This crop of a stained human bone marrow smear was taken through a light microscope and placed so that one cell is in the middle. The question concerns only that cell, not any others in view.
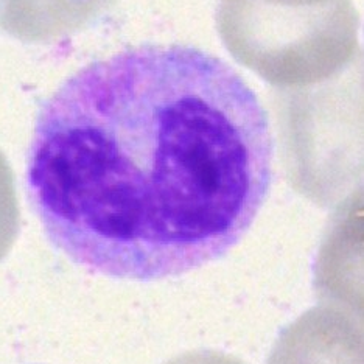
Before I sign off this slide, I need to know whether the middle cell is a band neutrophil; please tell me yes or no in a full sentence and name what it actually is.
Yes, in this crop the cell in the middle is a band neutrophil.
